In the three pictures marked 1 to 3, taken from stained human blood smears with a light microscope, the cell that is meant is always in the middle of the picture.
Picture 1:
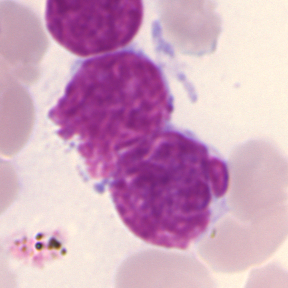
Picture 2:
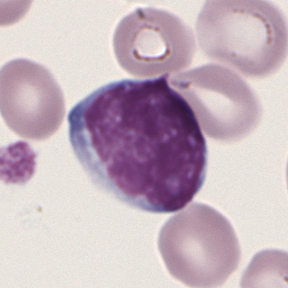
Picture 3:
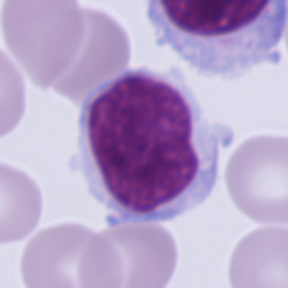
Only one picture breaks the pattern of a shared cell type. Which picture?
1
